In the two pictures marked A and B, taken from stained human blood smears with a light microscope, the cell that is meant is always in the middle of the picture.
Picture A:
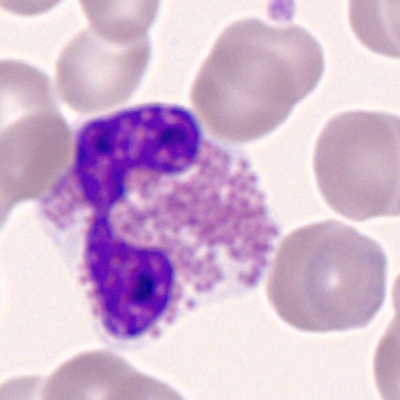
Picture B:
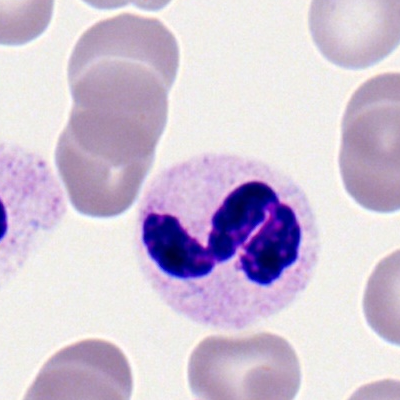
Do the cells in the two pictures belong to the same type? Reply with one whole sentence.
No; the cell in picture A is an eosinophil, while the one in picture B is a segmented neutrophil.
